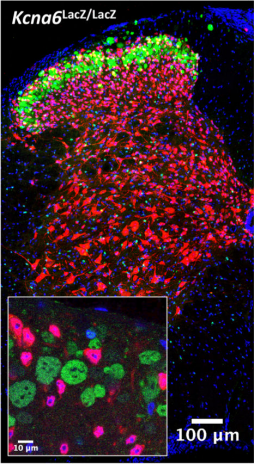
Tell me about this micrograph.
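This transverse section of the spinal cord dorsal horn shows a striking band of large, rounded green profiles capping the superficial dorsal laminae. Small blue nuclei are spread throughout grey and white matter, and many small green dots lie among them. In the high-power inset the green profiles appear swollen and rounded, some containing clear vacuole-like spaces, and sit among smaller red neuronal profiles and blue nuclei.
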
